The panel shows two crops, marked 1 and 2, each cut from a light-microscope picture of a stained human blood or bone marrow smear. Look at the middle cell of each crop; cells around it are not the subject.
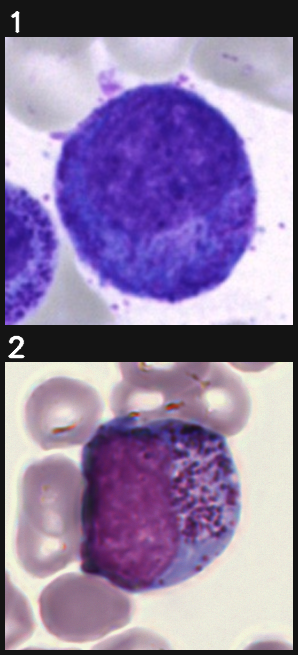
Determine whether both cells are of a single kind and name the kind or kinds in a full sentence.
Yes, the cells of interest in both crops are promyelocytes.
